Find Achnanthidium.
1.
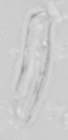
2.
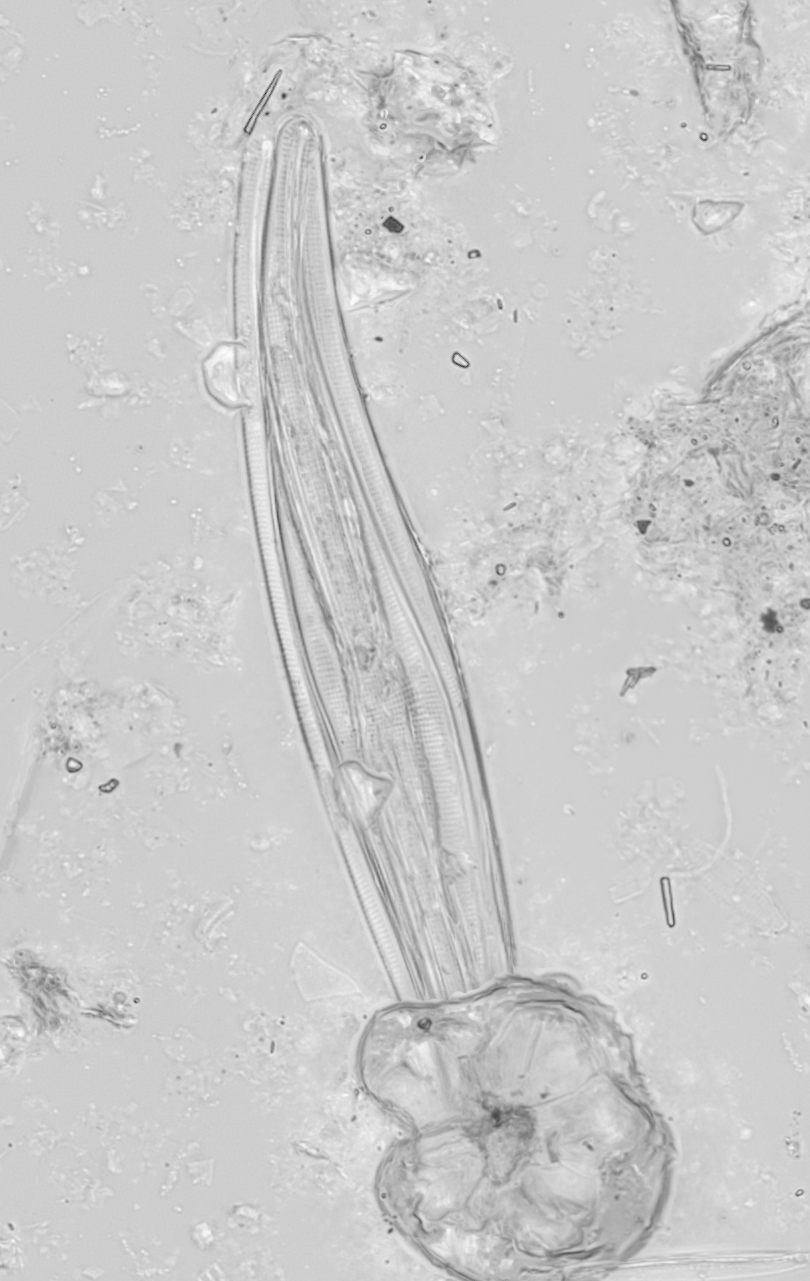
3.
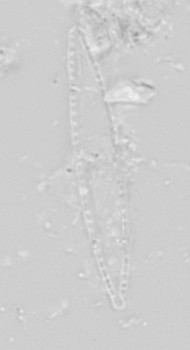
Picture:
1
